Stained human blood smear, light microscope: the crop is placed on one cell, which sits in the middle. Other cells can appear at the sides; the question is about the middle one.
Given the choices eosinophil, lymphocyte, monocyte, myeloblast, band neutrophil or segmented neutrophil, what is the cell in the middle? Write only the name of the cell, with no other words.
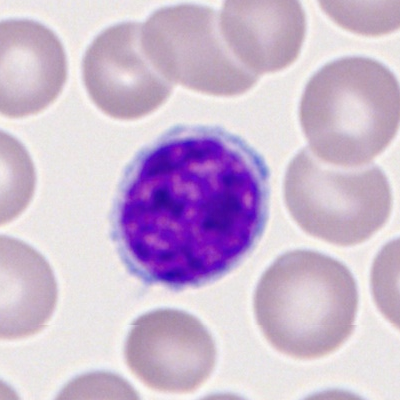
lymphocyte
